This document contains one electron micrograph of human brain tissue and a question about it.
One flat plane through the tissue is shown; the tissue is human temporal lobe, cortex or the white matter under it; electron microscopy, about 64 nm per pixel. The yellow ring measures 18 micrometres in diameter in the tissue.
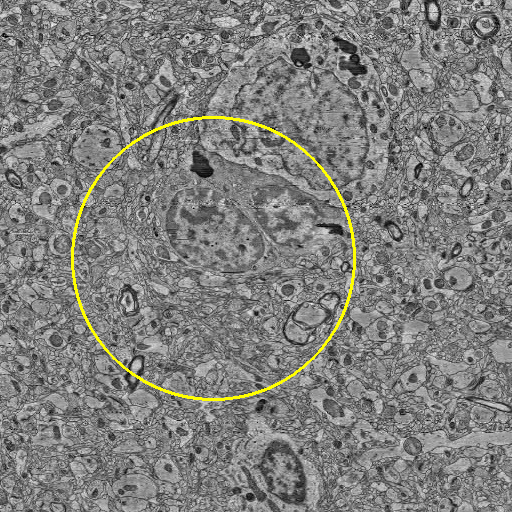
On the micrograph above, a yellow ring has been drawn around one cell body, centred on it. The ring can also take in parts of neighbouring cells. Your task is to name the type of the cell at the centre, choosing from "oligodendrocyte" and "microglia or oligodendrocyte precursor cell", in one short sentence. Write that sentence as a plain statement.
Here the ring is centred on an oligodendrocyte.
